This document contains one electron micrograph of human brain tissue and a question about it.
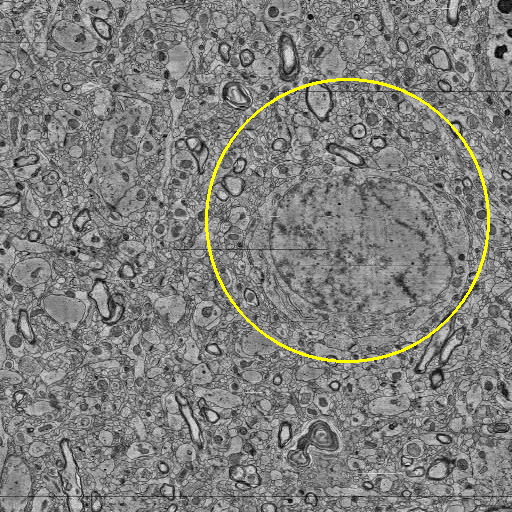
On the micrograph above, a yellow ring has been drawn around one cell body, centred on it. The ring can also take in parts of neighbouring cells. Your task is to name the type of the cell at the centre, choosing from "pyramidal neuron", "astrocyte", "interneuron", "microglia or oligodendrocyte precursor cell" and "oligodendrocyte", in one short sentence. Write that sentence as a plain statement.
Here the ring is centred on an interneuron.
